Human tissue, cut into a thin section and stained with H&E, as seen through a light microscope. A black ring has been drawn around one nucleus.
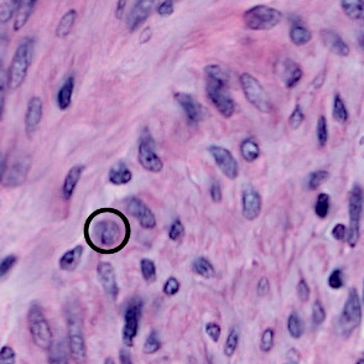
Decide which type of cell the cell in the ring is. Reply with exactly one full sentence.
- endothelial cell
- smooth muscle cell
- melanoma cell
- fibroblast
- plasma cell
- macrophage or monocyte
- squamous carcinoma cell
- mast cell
At the level of cell identity, the cell in the ring is a smooth muscle cell.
